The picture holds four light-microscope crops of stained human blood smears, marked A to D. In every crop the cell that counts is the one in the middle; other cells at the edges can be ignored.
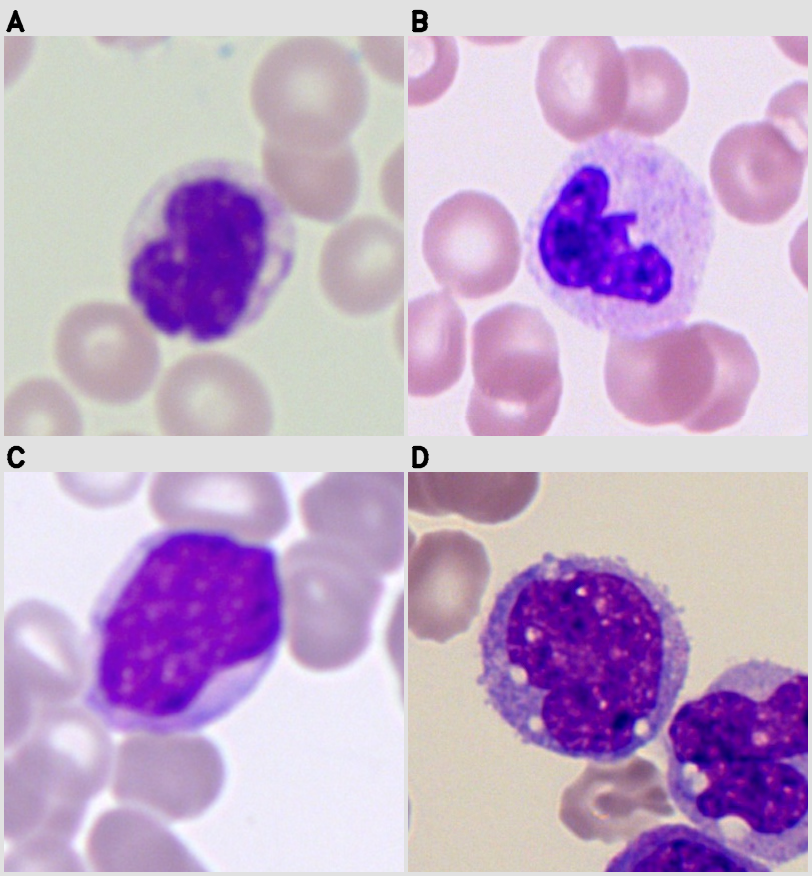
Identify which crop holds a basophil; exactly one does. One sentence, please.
Here the crop that shows a basophil is crop A.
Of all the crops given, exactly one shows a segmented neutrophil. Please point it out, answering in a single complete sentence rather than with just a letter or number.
The one crop in the set with a segmented neutrophil is crop B.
